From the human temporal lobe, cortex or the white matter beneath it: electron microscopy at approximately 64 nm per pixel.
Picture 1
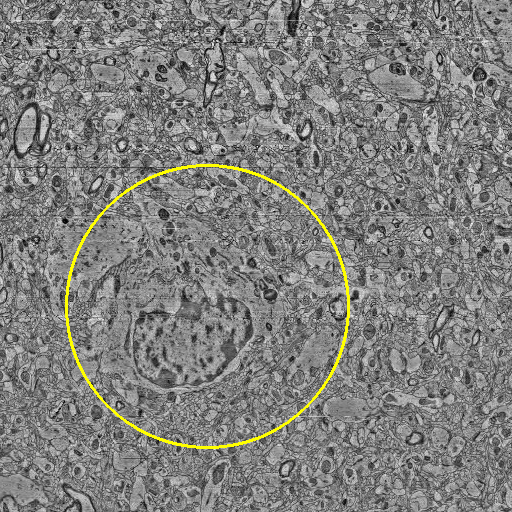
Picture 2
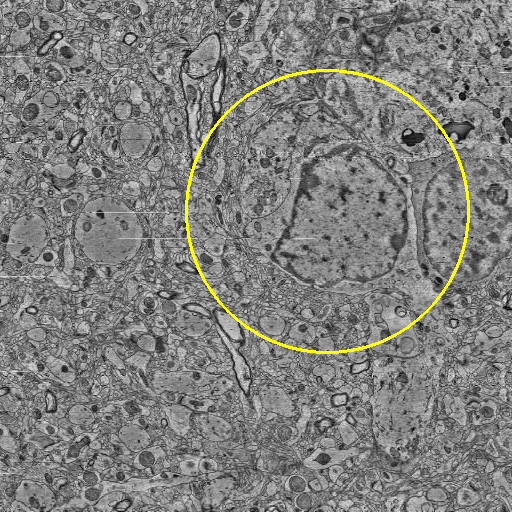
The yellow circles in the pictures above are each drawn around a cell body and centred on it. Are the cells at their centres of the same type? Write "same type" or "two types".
same type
